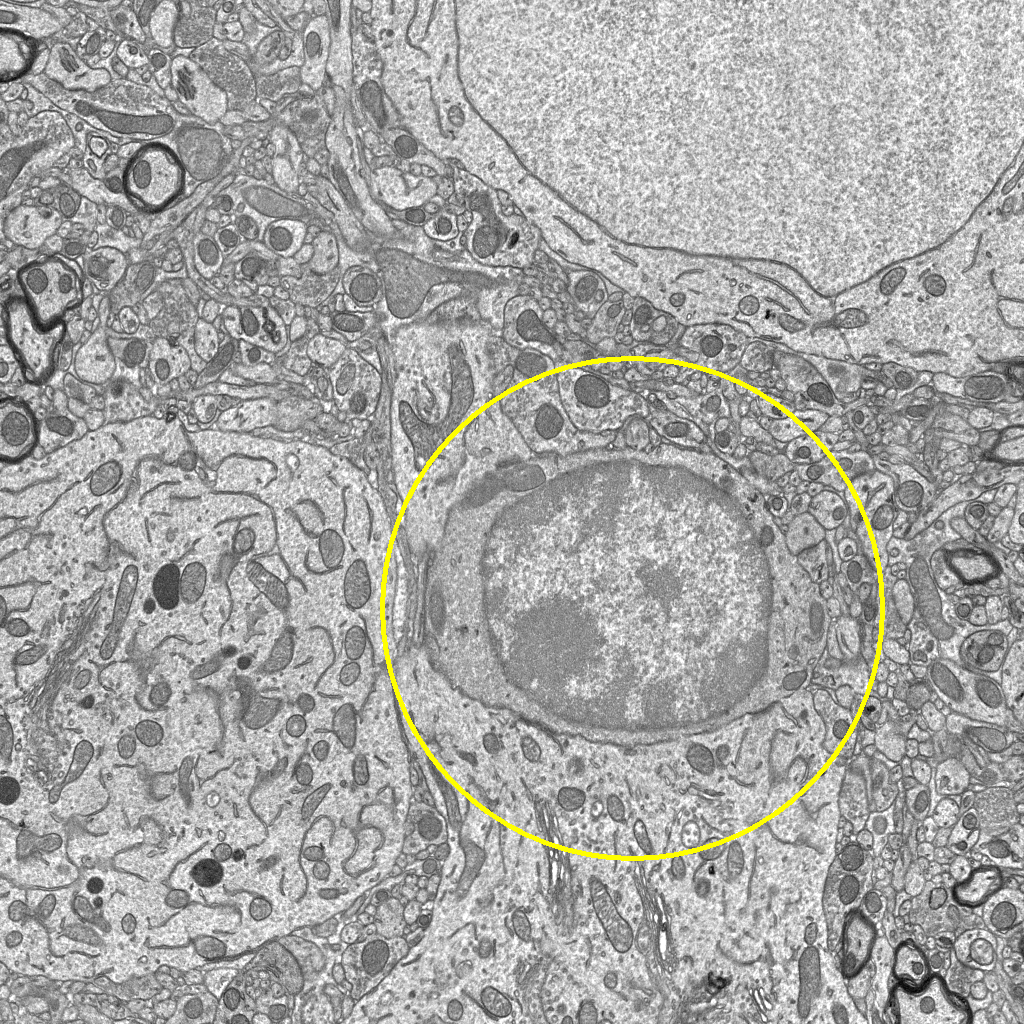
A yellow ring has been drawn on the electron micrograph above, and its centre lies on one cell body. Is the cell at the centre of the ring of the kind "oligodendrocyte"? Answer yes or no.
yes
